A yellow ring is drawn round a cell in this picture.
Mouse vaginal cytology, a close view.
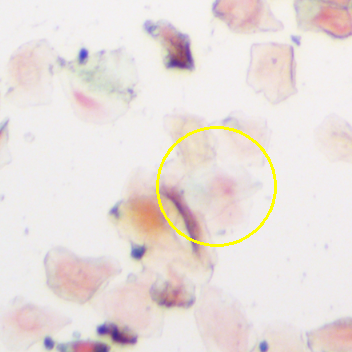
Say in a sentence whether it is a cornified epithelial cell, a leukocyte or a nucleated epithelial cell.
The cell in the ring is a cornified epithelial cell.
